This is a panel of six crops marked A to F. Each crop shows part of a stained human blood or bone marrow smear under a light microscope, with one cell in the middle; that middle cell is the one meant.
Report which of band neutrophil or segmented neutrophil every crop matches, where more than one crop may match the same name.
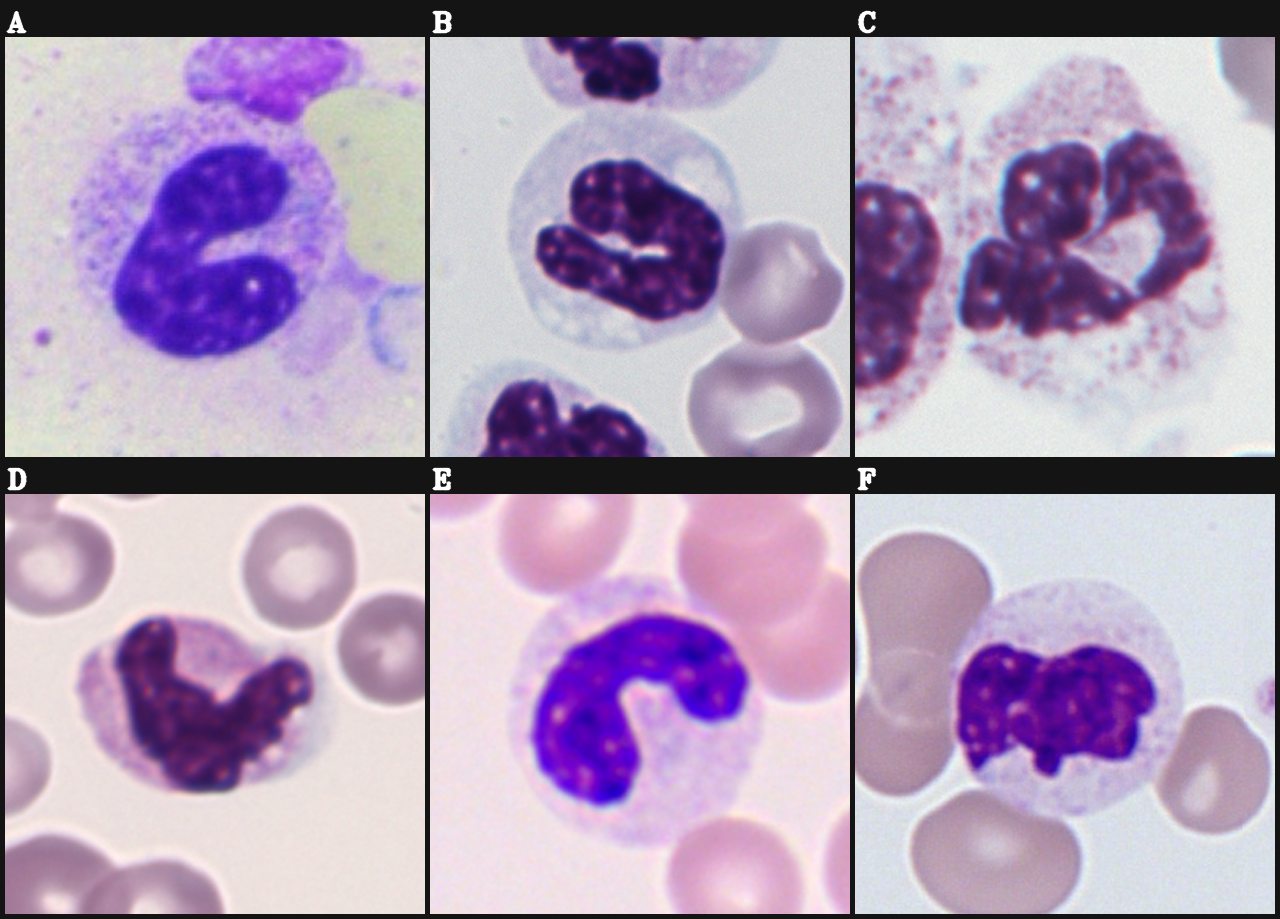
A: band neutrophil
B: band neutrophil
C: segmented neutrophil
D: segmented neutrophil
E: band neutrophil
F: segmented neutrophil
